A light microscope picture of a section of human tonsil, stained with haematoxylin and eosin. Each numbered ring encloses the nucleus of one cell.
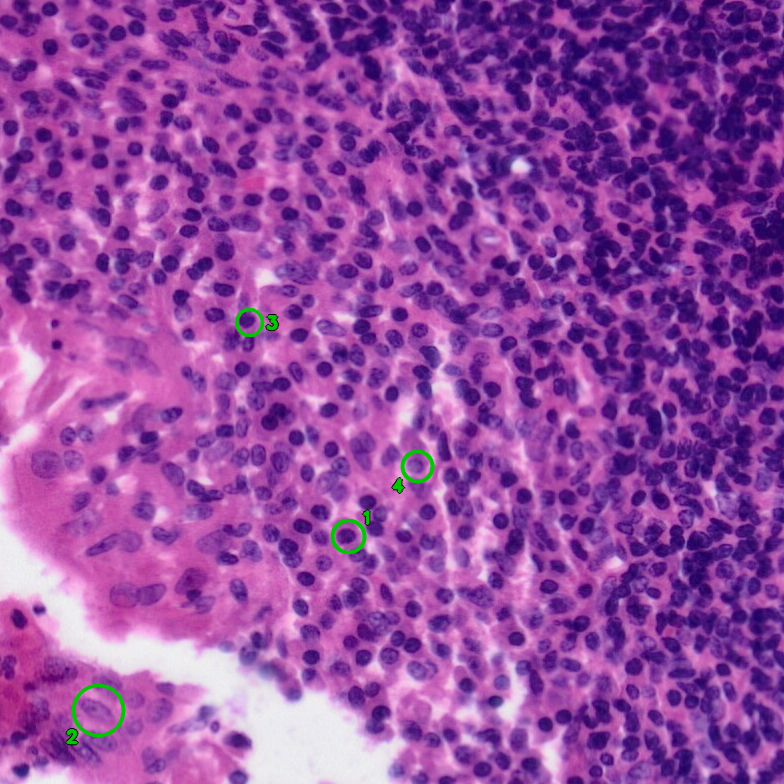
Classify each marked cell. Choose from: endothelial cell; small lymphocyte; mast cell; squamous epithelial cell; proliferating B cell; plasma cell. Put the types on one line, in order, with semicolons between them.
plasma cell; squamous epithelial cell; plasma cell; plasma cell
